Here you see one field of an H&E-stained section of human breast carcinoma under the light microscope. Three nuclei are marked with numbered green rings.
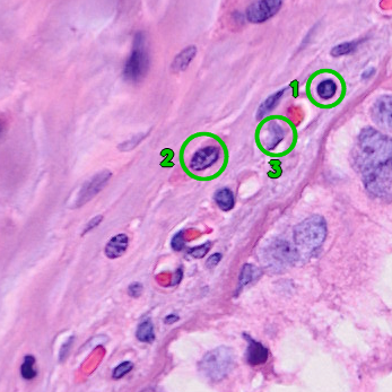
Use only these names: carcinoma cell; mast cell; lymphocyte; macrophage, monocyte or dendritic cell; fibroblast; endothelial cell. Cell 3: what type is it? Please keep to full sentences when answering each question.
Classified as a fibroblast is the cell with the number 3.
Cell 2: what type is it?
To a mast cell belongs the nucleus marked 2.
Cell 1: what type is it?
The expected answer is that cell 1 is a mast cell.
